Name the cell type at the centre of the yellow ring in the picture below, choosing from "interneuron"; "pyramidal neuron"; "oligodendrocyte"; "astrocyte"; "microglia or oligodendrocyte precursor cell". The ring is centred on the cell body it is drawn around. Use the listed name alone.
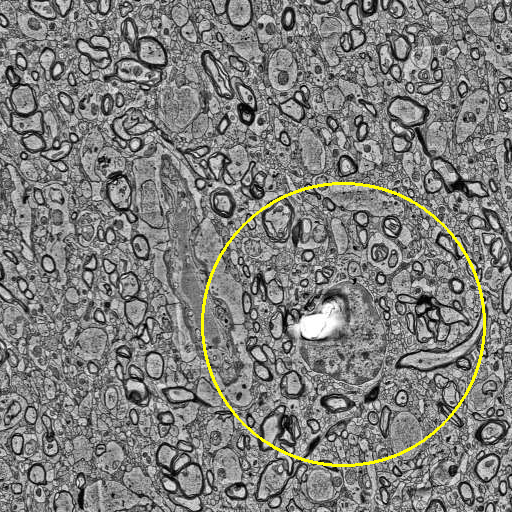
microglia or oligodendrocyte precursor cell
